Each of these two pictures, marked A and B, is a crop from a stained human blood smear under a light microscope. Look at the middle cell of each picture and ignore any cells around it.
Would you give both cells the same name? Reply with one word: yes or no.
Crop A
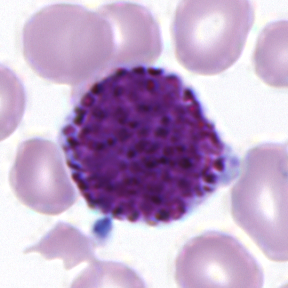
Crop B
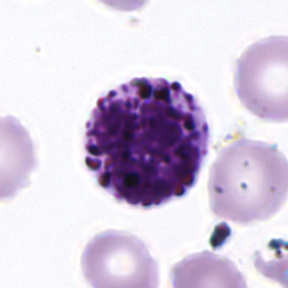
yes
